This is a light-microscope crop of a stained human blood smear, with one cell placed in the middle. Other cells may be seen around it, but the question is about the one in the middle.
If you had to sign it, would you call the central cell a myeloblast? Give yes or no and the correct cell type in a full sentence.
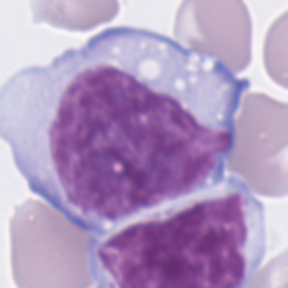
Yes, the cell that lies centrally is a myeloblast.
